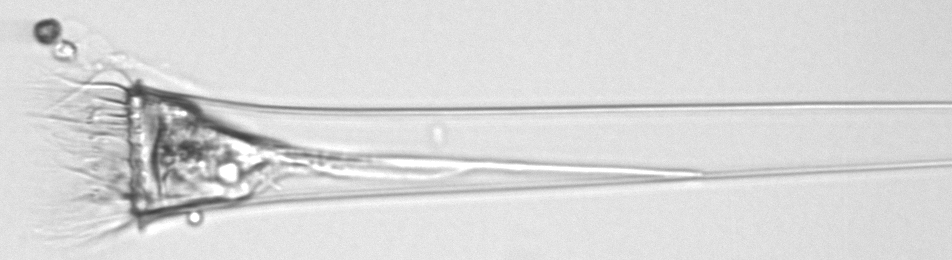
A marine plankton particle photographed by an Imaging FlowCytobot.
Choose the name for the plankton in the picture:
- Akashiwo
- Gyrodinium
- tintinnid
tintinnid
